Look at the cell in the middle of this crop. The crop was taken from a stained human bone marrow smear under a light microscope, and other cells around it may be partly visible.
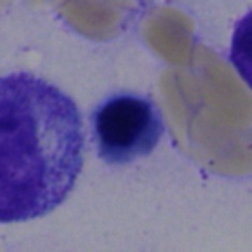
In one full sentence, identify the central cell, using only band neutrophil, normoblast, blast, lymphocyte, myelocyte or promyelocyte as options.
In this smear crop, the middle cell is a normoblast.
